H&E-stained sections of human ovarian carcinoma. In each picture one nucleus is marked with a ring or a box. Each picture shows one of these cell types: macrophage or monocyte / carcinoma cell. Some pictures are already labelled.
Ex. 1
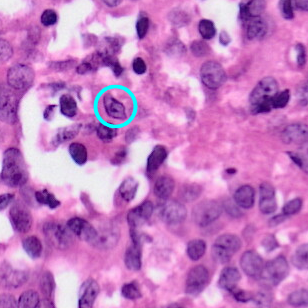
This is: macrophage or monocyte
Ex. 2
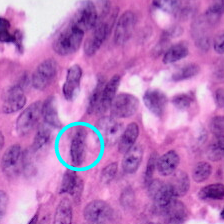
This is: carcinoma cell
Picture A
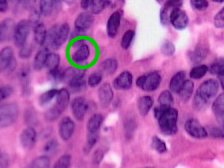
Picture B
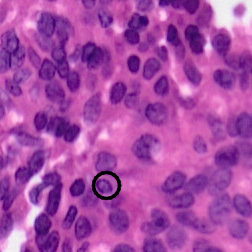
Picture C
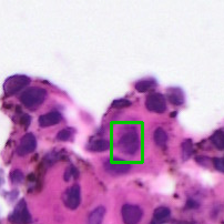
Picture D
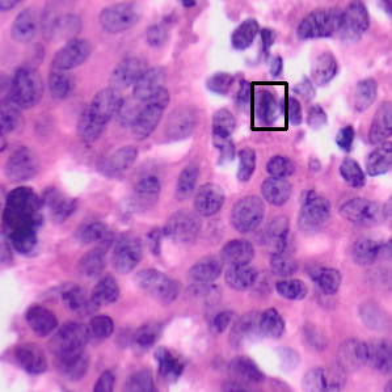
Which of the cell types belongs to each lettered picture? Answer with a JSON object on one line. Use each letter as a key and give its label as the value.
{"A": "carcinoma cell", "B": "macrophage or monocyte", "C": "carcinoma cell", "D": "carcinoma cell"}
